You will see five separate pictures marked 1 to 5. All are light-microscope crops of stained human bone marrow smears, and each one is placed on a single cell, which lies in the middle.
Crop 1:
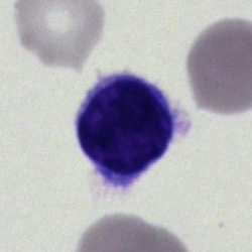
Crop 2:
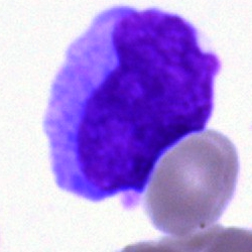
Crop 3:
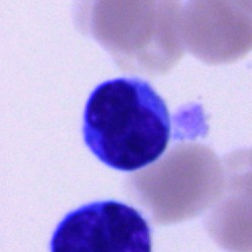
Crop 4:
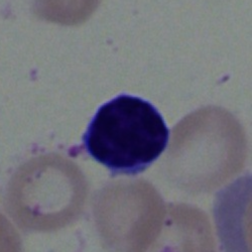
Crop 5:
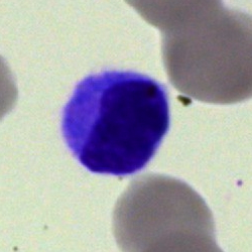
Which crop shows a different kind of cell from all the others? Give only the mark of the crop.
2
